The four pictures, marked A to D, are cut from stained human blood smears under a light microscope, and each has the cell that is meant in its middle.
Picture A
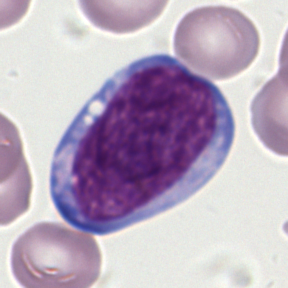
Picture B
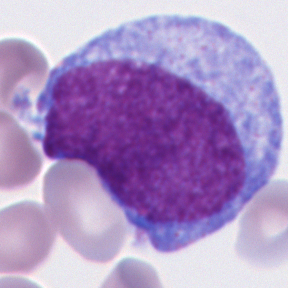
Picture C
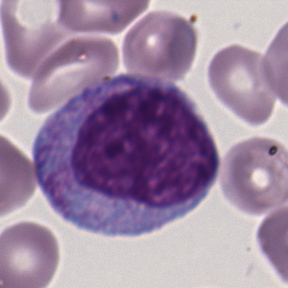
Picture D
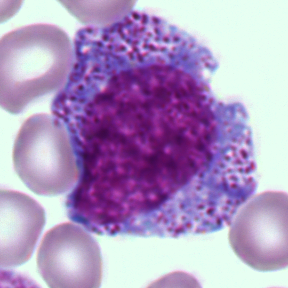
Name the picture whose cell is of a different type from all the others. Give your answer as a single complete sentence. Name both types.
All pictures except A show promyelocytes; picture A shows a myeloblast.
